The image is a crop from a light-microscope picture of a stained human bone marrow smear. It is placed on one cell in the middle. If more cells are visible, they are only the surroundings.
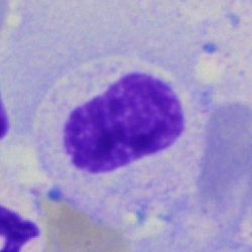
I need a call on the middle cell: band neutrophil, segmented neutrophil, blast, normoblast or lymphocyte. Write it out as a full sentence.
Present in the middle of the crop is a band neutrophil.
